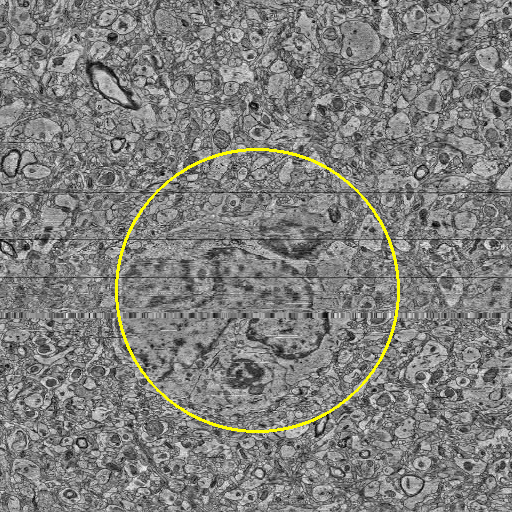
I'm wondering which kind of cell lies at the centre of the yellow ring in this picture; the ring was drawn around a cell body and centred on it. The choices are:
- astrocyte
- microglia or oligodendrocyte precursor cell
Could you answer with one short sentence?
At the centre of the ring lies a microglial cell or oligodendrocyte precursor cell.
